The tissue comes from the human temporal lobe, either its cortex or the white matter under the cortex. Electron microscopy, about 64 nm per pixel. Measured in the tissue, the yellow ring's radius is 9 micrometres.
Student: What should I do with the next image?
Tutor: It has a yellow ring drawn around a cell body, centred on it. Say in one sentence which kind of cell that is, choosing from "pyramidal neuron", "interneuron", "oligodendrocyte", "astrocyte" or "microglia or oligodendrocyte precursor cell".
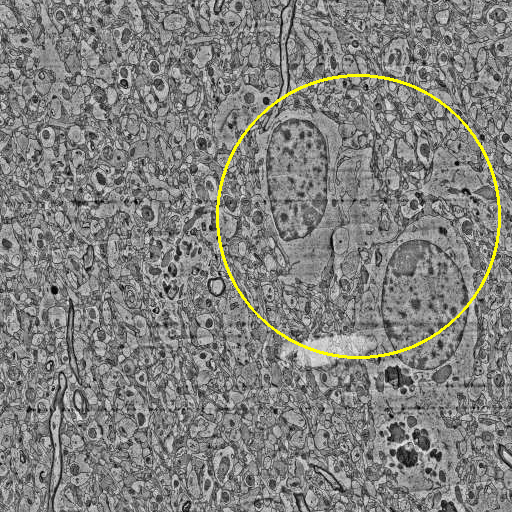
The ring's centre is occupied by an astrocyte.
